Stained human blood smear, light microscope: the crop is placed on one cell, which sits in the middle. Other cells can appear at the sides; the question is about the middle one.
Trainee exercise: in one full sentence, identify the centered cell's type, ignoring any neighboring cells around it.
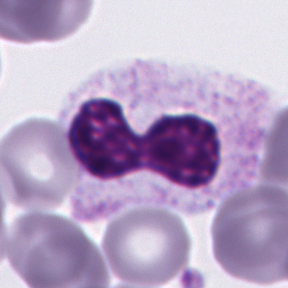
By classification, the middle cell of this crop is a band neutrophil.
